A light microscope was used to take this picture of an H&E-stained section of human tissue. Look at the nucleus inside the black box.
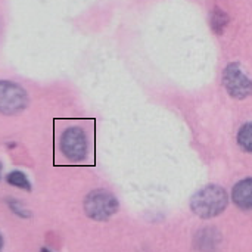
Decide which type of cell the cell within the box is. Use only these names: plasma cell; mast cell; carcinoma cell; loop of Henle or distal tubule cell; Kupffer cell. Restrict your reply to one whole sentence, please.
In the tissue under study, the cell within the box is a loop of Henle or distal tubule cell.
